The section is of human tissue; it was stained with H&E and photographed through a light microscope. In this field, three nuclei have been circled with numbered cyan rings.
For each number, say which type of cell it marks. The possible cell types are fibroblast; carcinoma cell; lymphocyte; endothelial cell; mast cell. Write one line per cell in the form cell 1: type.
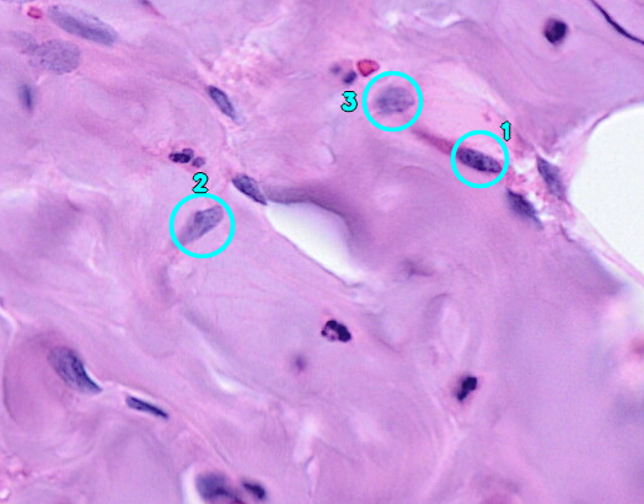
cell 1: mast cell
cell 2: fibroblast
cell 3: fibroblast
